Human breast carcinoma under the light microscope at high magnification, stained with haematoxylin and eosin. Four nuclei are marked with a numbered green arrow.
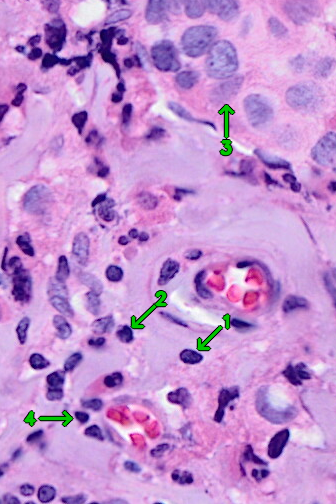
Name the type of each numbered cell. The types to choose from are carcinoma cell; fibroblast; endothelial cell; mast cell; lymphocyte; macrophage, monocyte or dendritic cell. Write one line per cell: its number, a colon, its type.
1: lymphocyte
2: lymphocyte
3: carcinoma cell
4: lymphocyte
